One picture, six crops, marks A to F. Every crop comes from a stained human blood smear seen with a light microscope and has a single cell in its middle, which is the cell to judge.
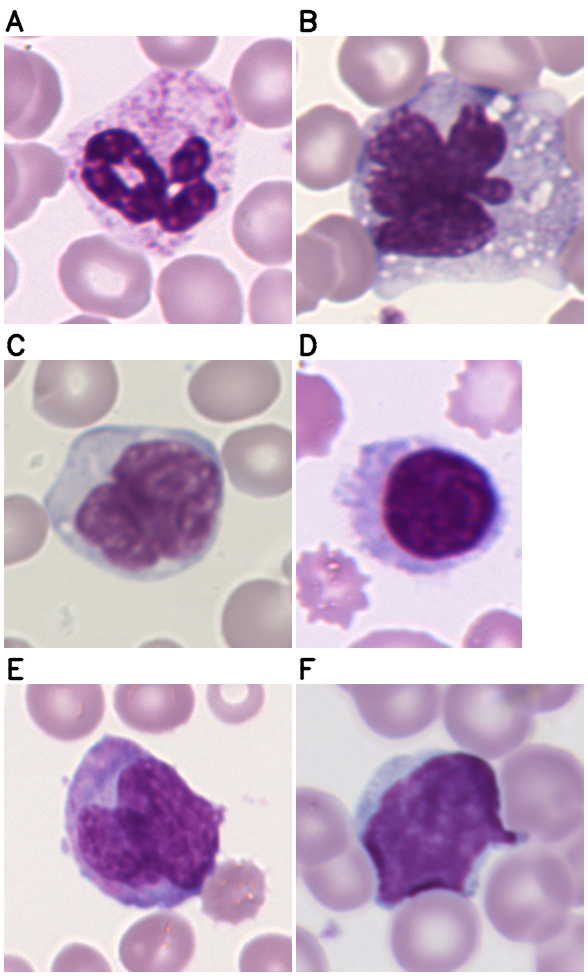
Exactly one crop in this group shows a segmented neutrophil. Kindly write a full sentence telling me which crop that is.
On review of the set, crop A is the one showing a segmented neutrophil.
